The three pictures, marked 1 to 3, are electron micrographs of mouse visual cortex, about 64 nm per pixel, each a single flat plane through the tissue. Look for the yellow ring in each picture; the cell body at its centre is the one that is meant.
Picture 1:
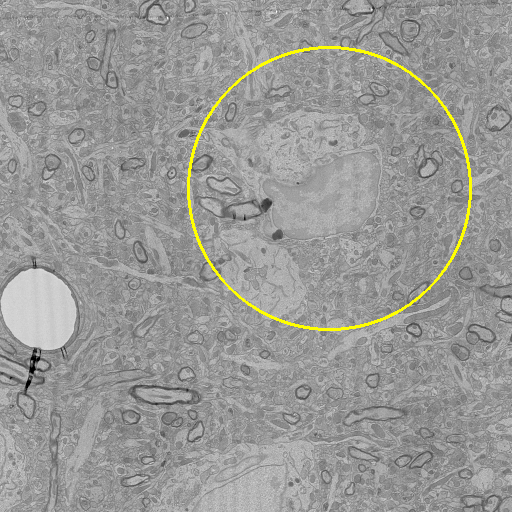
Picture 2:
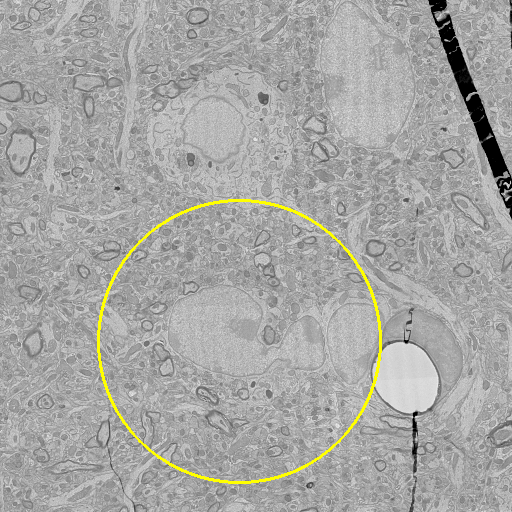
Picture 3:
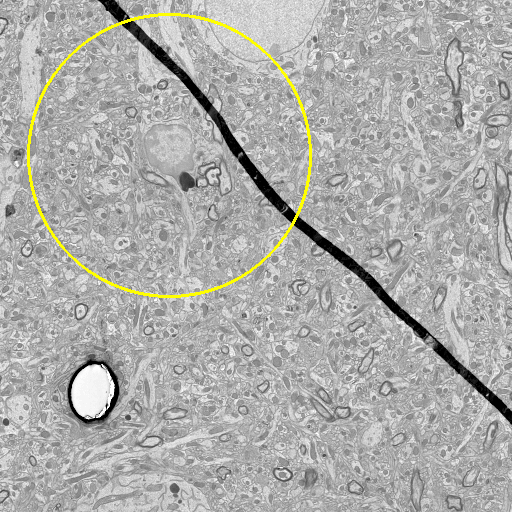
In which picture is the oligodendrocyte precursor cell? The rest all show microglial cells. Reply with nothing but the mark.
2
